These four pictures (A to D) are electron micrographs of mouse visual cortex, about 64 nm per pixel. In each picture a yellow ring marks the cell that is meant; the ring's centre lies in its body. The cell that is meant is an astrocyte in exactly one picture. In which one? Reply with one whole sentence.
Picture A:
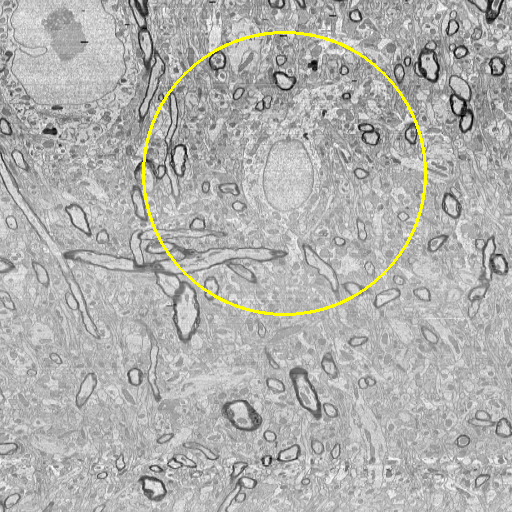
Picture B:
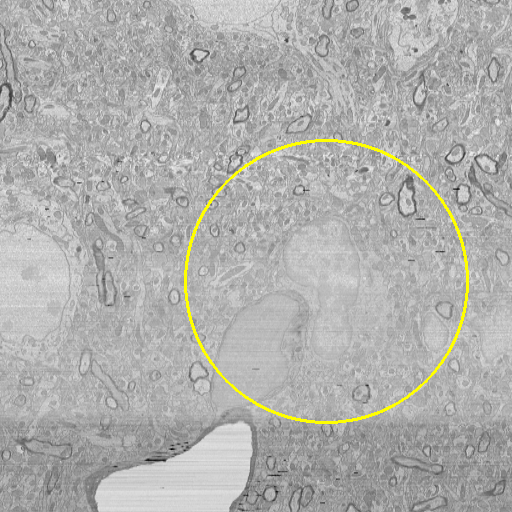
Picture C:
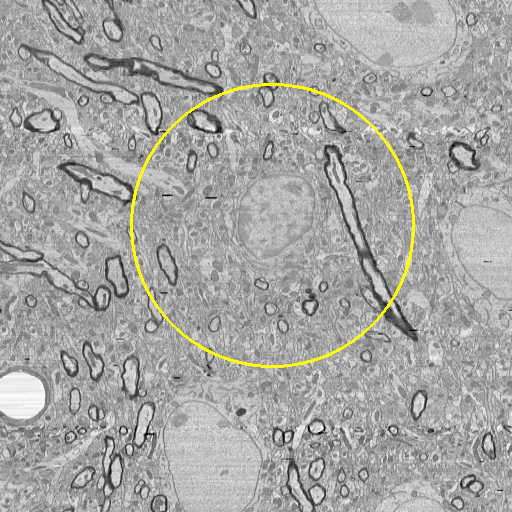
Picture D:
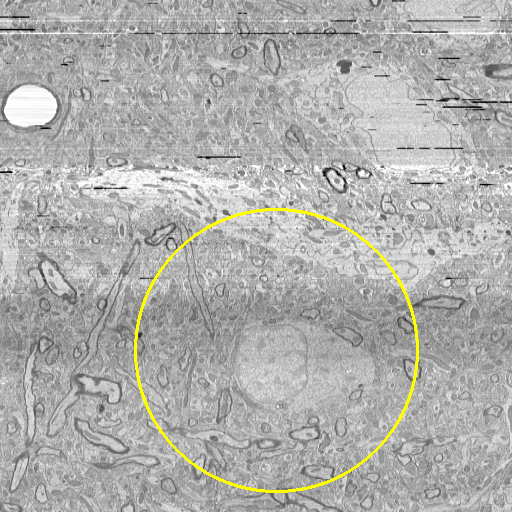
The cell in picture A is the astrocyte.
